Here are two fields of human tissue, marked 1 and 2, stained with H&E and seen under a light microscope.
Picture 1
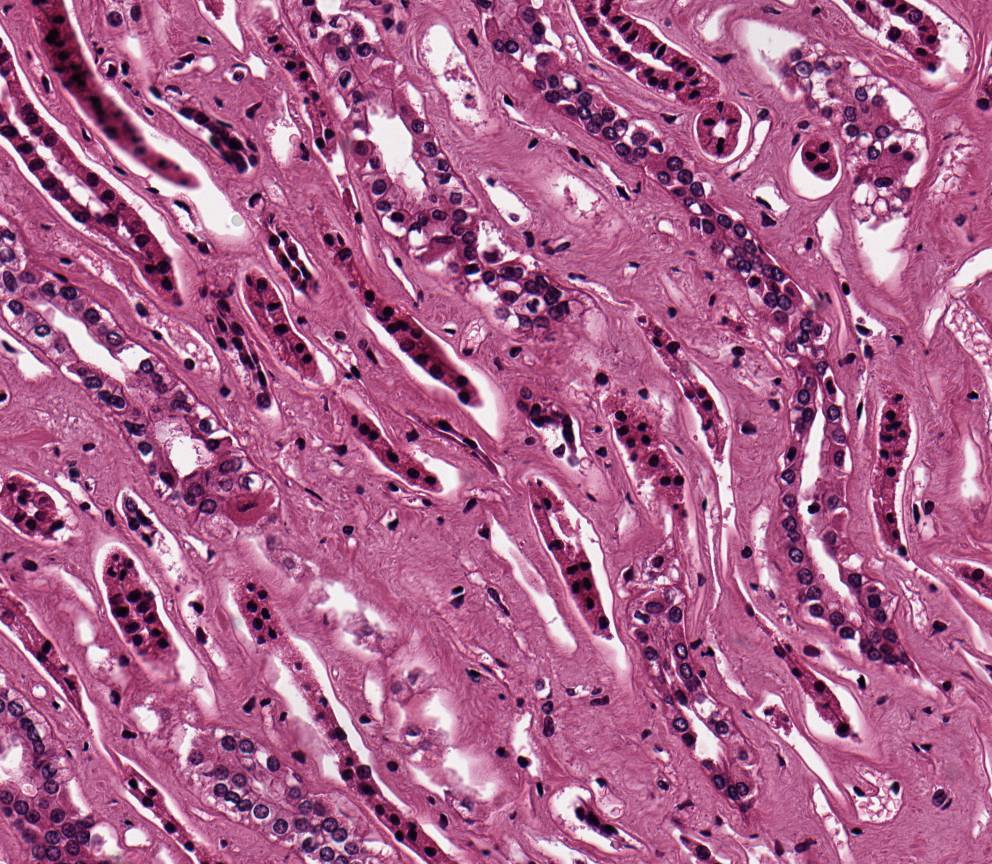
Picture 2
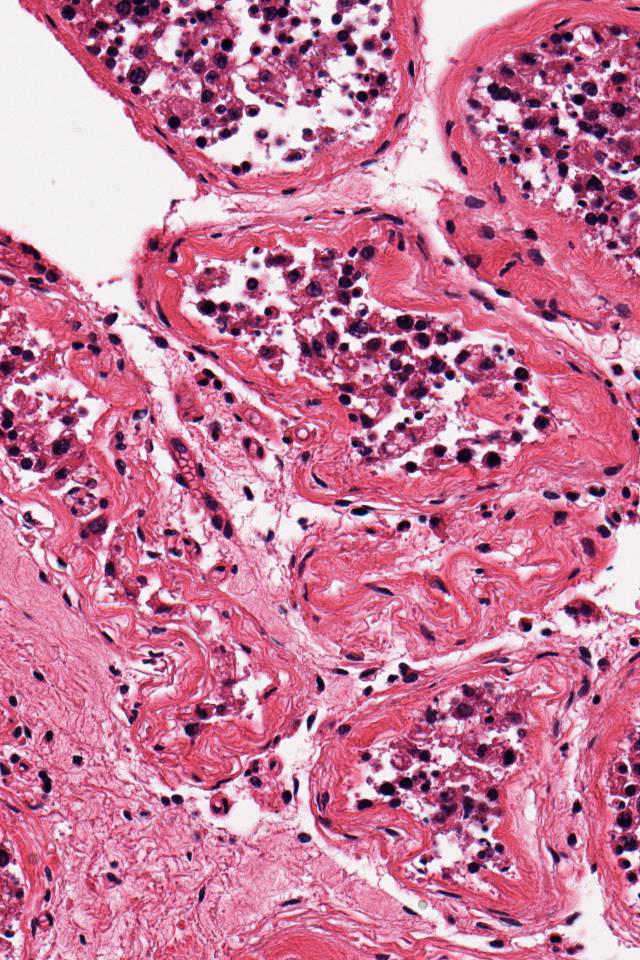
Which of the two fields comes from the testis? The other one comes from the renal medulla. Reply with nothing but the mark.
2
